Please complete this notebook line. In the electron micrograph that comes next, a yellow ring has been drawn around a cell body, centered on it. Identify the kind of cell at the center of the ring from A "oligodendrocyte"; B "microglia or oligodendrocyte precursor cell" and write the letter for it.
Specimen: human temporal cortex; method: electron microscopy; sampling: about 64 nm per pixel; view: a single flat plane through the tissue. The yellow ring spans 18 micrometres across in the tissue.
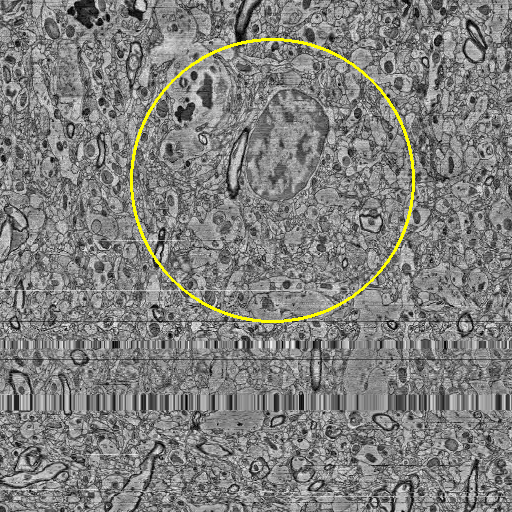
B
